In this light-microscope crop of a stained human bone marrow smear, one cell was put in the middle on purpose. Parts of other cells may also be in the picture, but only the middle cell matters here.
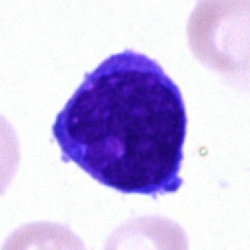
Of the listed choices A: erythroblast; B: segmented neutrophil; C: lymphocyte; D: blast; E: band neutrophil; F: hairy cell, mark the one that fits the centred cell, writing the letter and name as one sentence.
Option D holds, for the cell in the middle is a blast.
